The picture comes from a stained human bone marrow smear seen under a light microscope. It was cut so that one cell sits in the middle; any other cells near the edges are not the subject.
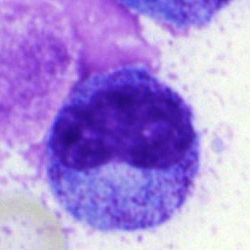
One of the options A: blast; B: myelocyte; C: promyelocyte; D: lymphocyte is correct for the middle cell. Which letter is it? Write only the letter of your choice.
B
